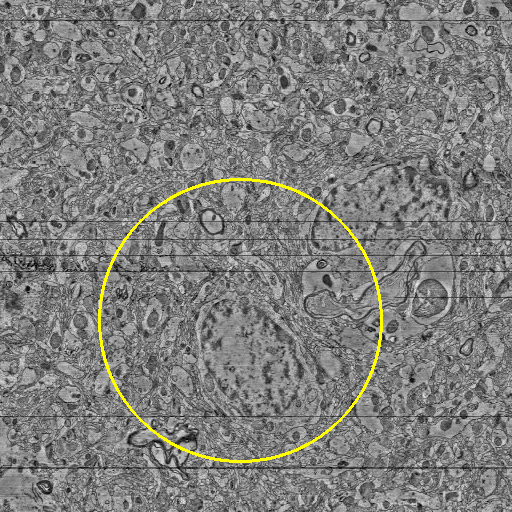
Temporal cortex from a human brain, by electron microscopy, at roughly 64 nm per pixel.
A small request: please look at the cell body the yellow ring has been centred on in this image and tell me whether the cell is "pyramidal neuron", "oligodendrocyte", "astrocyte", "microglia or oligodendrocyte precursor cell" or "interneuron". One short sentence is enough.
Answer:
The cell marked by the ring is an interneuron.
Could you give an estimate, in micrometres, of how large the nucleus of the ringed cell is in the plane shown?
In this plane the nucleus measures roughly 8 by 6 micrometers.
